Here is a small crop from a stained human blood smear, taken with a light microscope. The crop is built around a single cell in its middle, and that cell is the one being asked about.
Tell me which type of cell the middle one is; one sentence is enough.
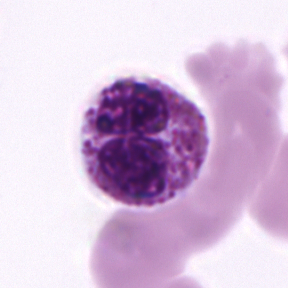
Framed in the middle of the crop is an eosinophil.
